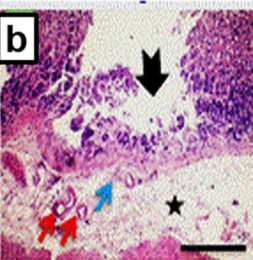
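Glandular stomach wall in which the mucosa is interrupted by a deep ulcer. On either side purple gland columns remain, but in the middle a wide defect reaches down through the mucosa, its floor lined by disorganised tissue and scattered dark nuclei. Below, the submucosa is broad, pale and loose, with clear spaces between strands, as in edema. Several round, open vessel profiles with pink walls lie in this loose tissue, and small dark nuclei are scattered through it, consistent with infiltrating white blood cells.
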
